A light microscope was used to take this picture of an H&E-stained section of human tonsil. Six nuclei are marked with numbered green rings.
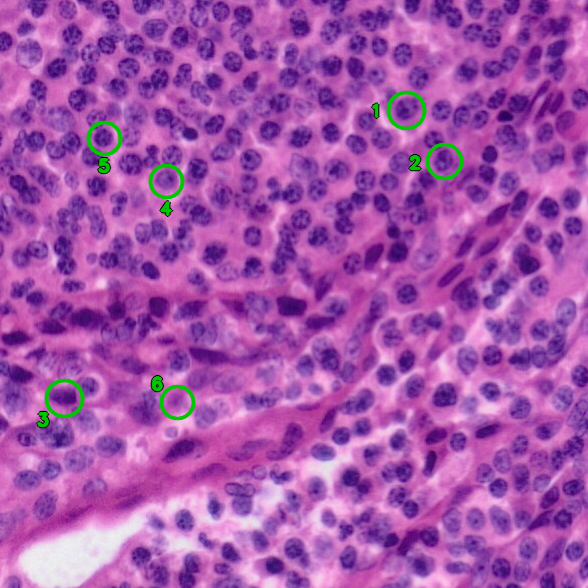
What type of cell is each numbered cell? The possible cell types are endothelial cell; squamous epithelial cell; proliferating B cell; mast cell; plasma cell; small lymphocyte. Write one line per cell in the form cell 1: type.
cell 1: plasma cell
cell 2: plasma cell
cell 3: squamous epithelial cell
cell 4: plasma cell
cell 5: plasma cell
cell 6: squamous epithelial cell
